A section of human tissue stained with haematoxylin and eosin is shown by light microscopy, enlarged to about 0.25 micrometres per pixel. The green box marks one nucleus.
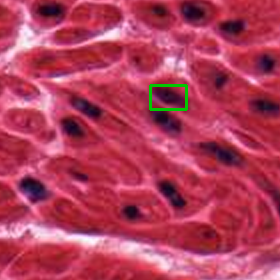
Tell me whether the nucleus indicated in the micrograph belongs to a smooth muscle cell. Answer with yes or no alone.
yes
